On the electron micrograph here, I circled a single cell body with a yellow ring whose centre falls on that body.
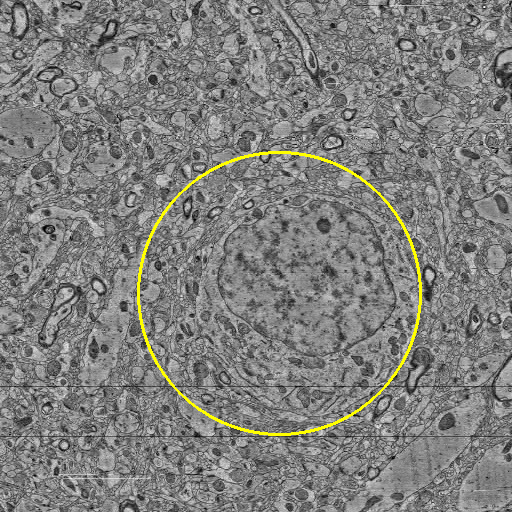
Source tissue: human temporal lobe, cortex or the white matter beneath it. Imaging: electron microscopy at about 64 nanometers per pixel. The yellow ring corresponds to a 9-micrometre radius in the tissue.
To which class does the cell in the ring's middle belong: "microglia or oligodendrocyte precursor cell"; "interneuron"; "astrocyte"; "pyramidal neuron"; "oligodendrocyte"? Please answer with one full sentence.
In this picture, the cell body circled at the ring's centre belongs to an interneuron.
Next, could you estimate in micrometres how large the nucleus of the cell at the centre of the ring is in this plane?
The nucleus of the ringed cell is approximately 11 micrometres across in this plane.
